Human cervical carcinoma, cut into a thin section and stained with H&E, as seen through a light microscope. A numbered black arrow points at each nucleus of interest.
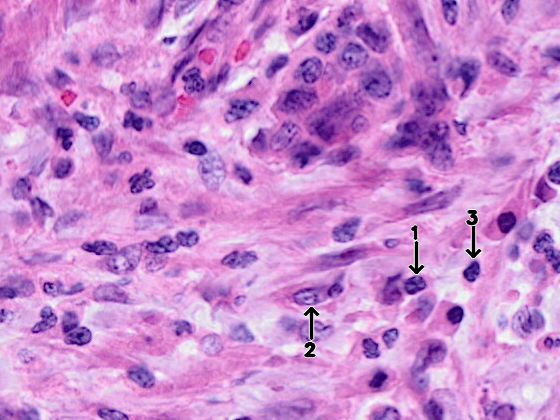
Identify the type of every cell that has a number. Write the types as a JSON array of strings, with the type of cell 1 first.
["lymphocyte", "endothelial cell", "lymphocyte"]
